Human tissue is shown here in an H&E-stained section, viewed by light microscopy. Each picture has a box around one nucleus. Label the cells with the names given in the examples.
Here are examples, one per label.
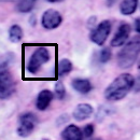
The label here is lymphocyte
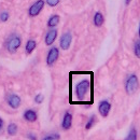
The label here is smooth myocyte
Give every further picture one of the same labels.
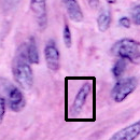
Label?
smooth myocyte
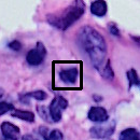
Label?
lymphocyte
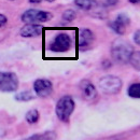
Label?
lymphocyte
